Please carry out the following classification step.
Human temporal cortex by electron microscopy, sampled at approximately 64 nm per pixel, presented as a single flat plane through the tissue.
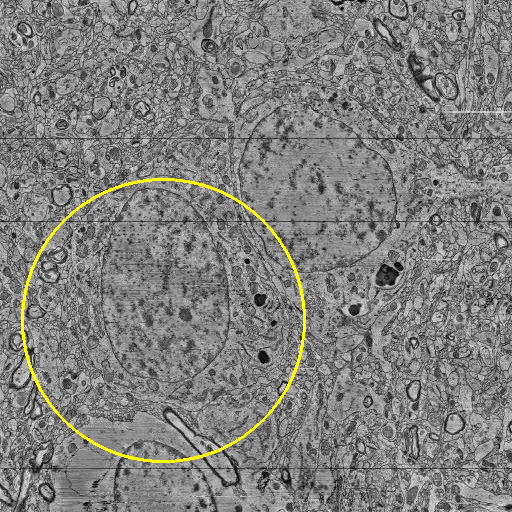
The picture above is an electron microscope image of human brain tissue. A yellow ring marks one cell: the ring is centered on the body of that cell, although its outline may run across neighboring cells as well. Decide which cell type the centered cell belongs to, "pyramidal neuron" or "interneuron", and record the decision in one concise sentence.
The cell centered in the yellow ring is an interneuron.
